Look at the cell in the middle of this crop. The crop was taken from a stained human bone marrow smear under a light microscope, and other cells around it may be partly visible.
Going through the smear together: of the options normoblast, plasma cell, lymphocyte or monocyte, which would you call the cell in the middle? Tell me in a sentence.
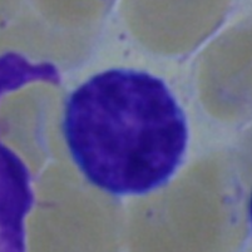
The crop shows a lymphocyte in its centre.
